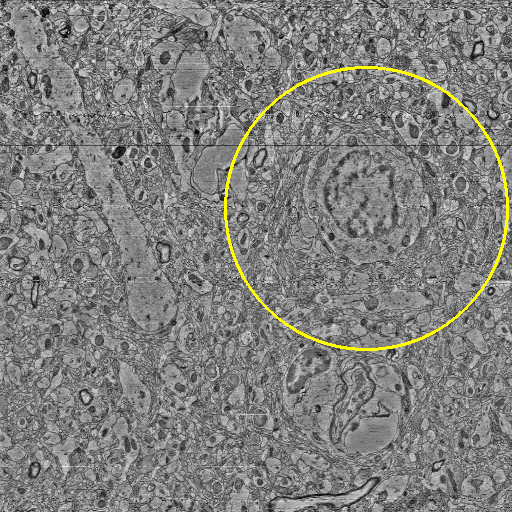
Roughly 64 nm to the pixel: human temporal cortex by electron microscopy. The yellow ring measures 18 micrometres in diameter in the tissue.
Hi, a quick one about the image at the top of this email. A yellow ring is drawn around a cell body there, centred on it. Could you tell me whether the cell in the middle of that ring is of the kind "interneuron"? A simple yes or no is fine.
yes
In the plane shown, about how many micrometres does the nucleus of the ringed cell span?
Approximately 6 micrometres long and 5 micrometres wide, in this plane.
